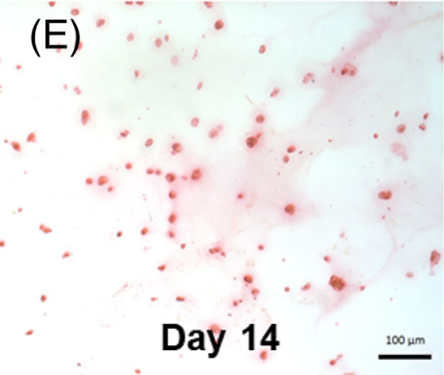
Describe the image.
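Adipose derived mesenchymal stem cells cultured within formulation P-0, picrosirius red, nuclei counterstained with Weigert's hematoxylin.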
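Cell bodies vary in size and are separated from one another, with loose grouping toward the middle of the field. Between them lie faint, diffuse pink sheets of matrix with soft edges rather than distinct fibres. No fibrous meshwork is seen; the red colour is concentrated on and around the cell bodies, while most of the background remains pale.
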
